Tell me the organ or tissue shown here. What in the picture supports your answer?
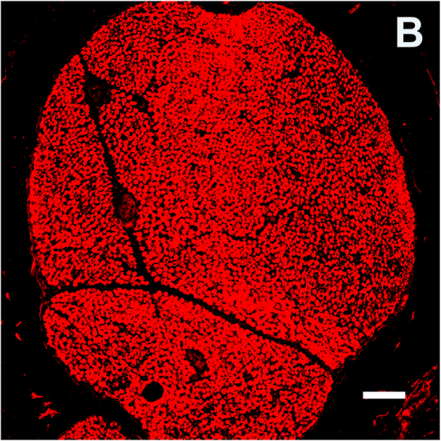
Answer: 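Nerve. A large rounded cross-section packed with many small red rings or dots. The cross-section is divided into compartments by thin dark septa. Small round blood vessel profiles lie within the section.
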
